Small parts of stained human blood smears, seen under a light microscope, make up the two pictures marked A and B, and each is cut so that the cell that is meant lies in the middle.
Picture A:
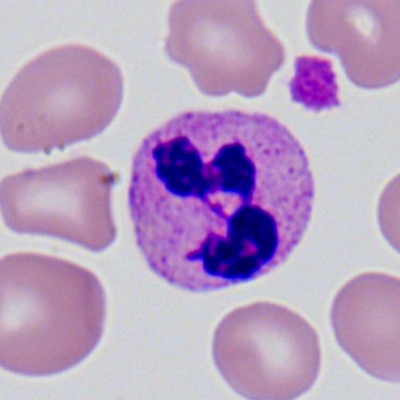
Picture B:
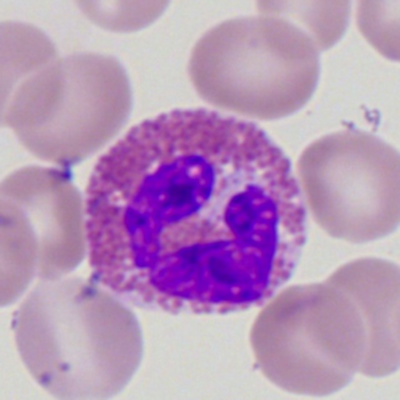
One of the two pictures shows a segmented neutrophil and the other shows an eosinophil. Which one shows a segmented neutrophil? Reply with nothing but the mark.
A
